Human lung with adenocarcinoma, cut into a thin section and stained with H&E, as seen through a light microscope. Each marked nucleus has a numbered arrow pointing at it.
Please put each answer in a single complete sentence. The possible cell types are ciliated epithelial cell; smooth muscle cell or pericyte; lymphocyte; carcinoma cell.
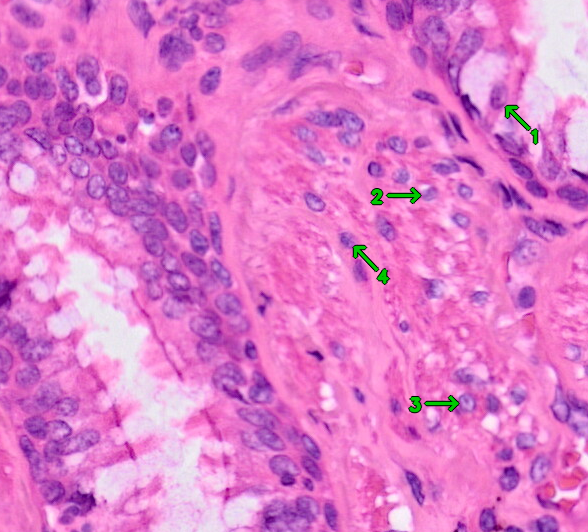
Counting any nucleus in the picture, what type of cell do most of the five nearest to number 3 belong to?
Smooth muscle cells or pericytes make up most of the five nuclei closest to number 3.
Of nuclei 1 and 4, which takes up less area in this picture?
Number 4 is smaller, since number 1 takes up about 2.5 times as much area.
